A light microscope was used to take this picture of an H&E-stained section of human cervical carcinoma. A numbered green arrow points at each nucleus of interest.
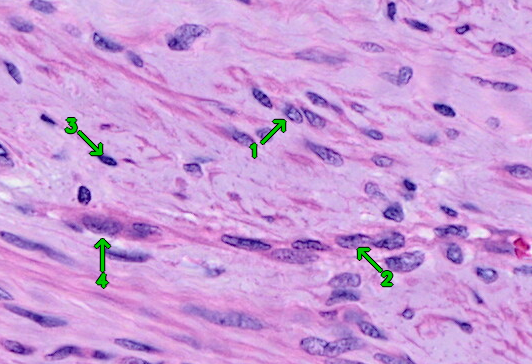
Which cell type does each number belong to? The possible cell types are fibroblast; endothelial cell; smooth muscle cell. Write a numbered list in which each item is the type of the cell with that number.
1. smooth muscle cell
2. endothelial cell
3. fibroblast
4. endothelial cell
